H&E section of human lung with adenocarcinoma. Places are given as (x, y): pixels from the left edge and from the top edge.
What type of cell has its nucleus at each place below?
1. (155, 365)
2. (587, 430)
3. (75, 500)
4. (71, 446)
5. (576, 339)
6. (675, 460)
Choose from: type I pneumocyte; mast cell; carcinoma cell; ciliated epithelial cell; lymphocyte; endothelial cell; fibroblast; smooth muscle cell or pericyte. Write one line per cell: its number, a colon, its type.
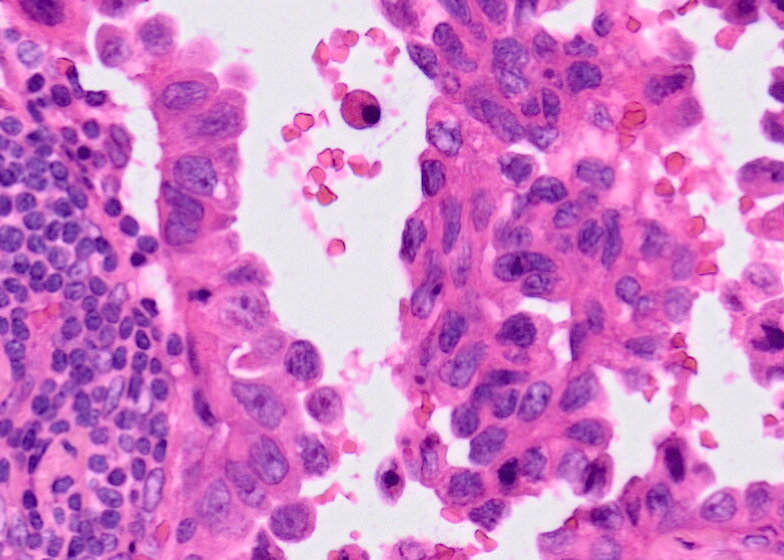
1: lymphocyte
2: carcinoma cell
3: lymphocyte
4: lymphocyte
5: carcinoma cell
6: carcinoma cell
